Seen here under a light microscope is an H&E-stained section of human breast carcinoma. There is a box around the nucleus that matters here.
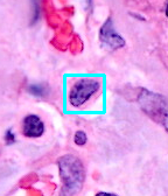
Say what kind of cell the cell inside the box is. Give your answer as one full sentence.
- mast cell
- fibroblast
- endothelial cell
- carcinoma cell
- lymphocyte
With respect to cell type, the cell inside the box is a mast cell.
